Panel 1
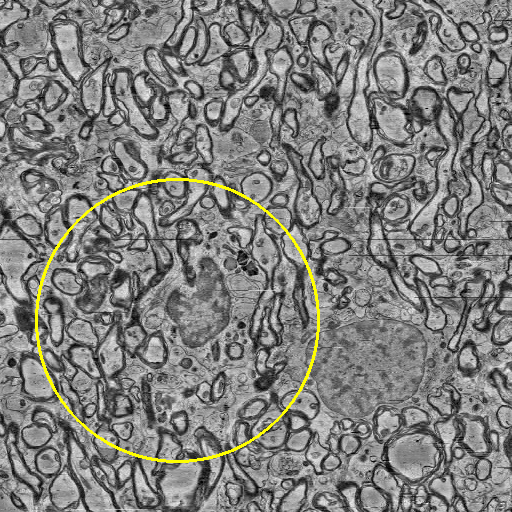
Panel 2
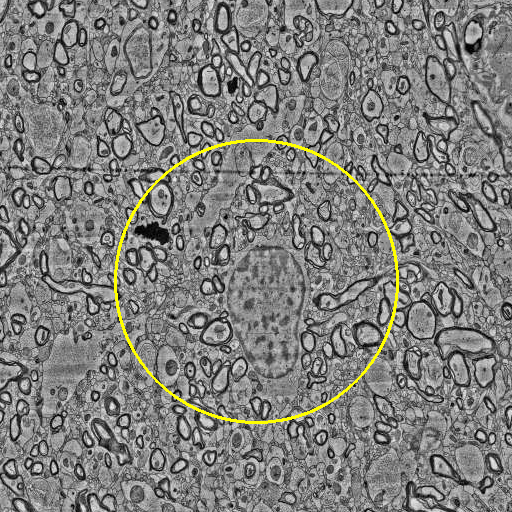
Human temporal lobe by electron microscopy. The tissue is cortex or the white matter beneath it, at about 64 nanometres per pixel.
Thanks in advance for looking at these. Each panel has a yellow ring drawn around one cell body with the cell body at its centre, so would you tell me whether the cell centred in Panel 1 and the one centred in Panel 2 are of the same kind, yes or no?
no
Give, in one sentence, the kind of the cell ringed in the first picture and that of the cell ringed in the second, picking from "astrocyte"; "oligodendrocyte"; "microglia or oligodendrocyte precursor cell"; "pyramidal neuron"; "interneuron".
For the first picture it is a microglial cell or oligodendrocyte precursor cell; for the second, an oligodendrocyte.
